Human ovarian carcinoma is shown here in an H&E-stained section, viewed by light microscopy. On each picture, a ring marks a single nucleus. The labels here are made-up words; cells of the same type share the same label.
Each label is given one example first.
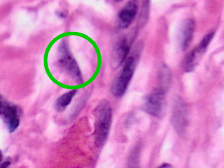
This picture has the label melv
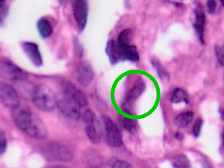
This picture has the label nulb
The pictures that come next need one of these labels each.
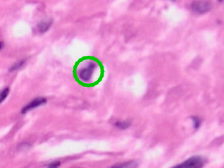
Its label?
melv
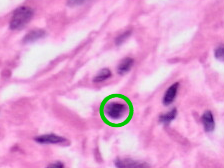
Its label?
melv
